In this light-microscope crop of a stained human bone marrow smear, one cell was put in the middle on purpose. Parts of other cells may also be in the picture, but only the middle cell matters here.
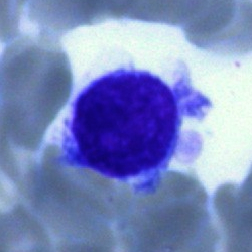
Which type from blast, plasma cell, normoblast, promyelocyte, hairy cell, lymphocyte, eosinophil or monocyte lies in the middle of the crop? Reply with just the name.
hairy cell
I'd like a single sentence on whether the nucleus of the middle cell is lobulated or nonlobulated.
If you check the nucleus, you will find one compact mass, round, oval or kidney-shaped.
